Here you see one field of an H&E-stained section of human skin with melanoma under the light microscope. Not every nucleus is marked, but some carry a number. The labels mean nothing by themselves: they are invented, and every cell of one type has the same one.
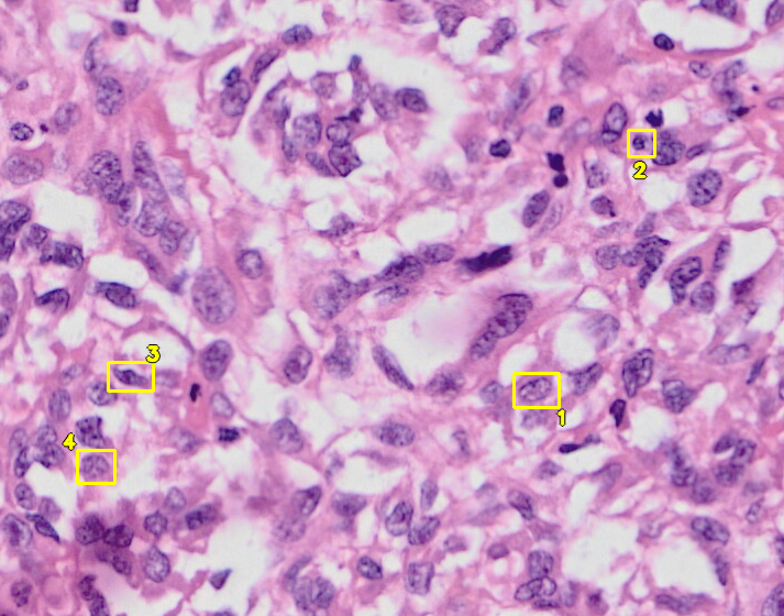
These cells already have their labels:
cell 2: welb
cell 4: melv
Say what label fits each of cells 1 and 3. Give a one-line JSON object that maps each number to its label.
{"1": "melv", "3": "melv"}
